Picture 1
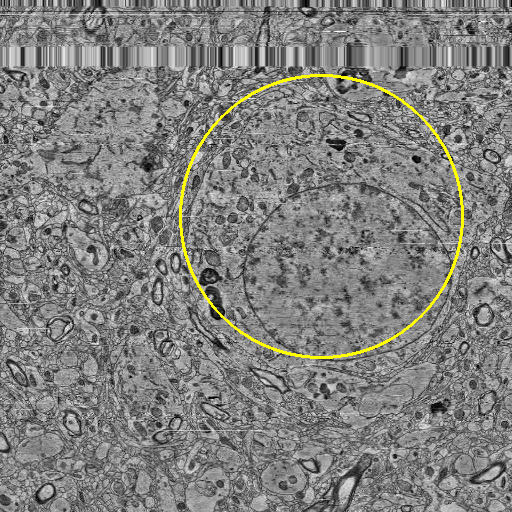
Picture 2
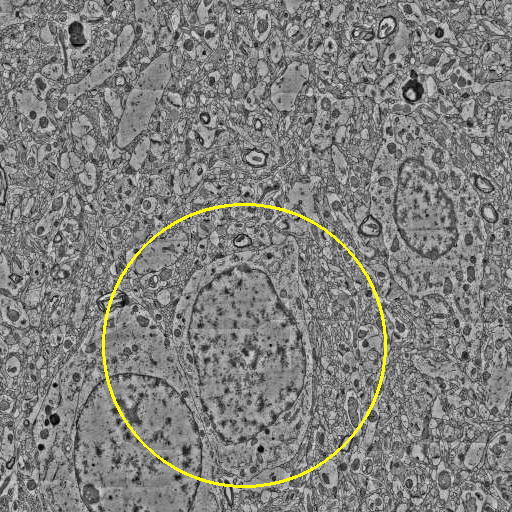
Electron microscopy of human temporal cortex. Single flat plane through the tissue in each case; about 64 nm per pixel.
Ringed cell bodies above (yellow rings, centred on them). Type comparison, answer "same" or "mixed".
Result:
mixed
